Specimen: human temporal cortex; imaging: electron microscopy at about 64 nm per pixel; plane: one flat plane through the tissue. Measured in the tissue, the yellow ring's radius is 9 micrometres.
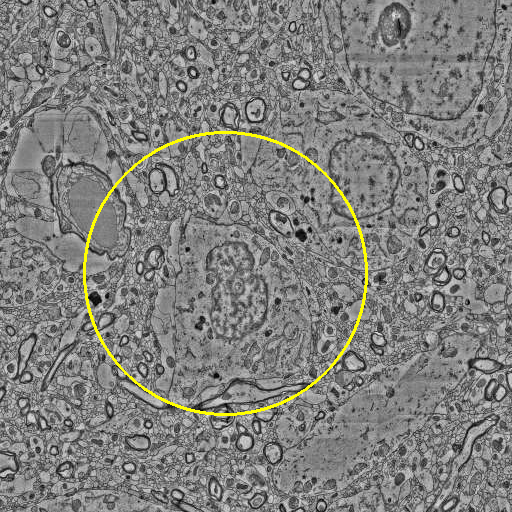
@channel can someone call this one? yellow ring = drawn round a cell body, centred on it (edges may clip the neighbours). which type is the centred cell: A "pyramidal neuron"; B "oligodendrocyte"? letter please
A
